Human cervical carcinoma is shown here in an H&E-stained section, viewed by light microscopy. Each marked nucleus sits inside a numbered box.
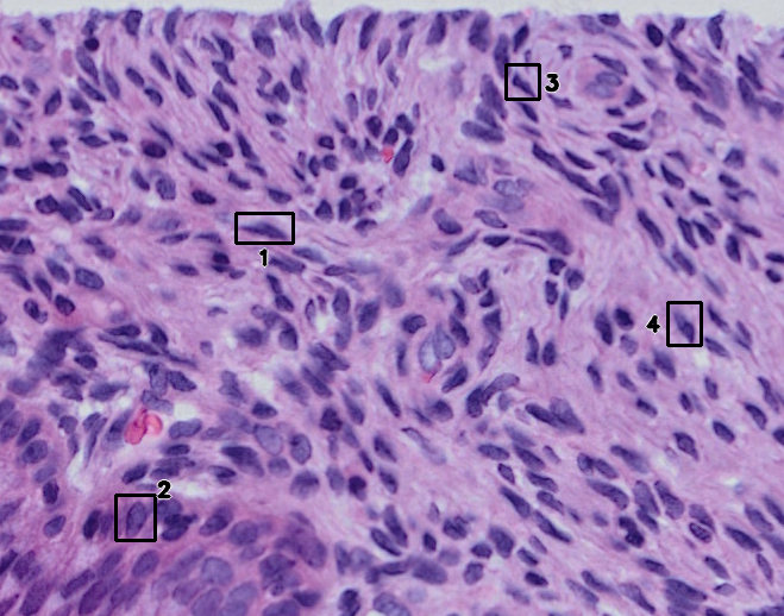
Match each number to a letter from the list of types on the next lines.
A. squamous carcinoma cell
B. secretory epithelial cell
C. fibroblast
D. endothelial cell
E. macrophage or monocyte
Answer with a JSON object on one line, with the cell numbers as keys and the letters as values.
{"1": "C", "2": "B", "3": "C", "4": "C"}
